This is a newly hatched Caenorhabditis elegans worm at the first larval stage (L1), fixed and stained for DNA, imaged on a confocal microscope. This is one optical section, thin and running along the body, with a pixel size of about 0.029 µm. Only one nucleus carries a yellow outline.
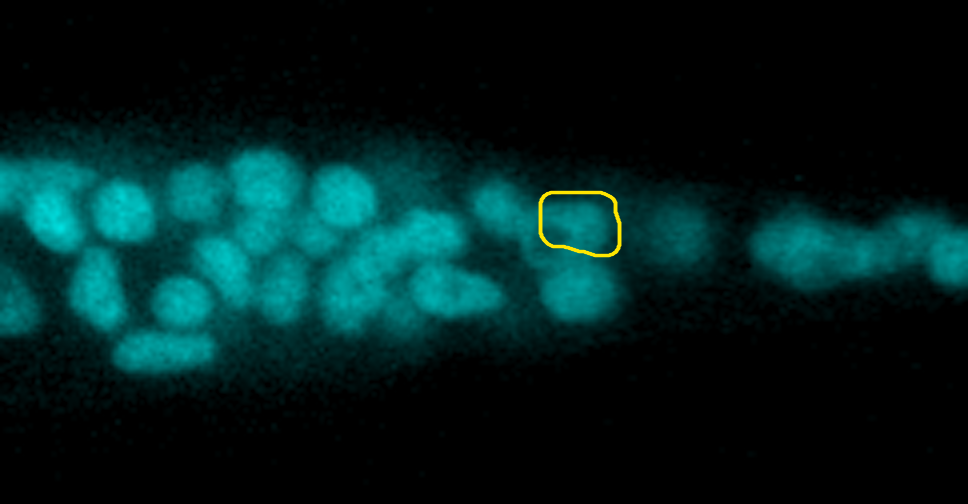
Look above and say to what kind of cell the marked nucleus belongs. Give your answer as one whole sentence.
The nucleus comes from a seam cell.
